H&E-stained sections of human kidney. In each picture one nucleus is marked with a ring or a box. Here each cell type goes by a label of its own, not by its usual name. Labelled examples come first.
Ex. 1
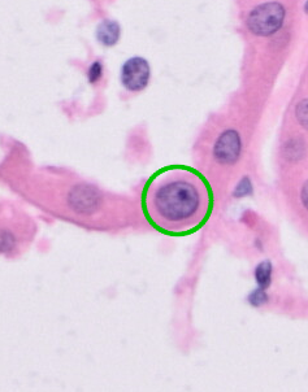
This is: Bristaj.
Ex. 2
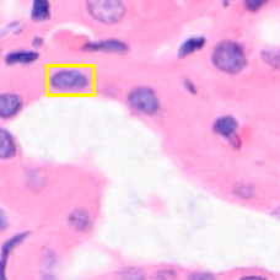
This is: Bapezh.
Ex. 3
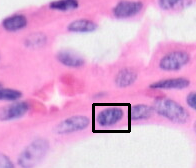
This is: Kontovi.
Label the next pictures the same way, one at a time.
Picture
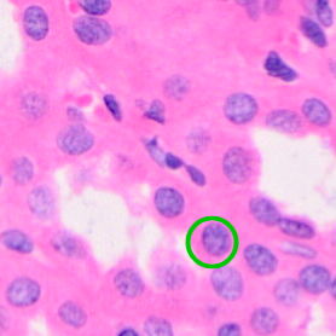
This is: Bapezh.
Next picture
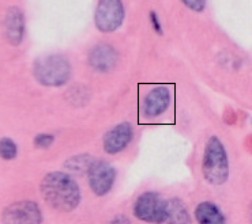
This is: Kontovi.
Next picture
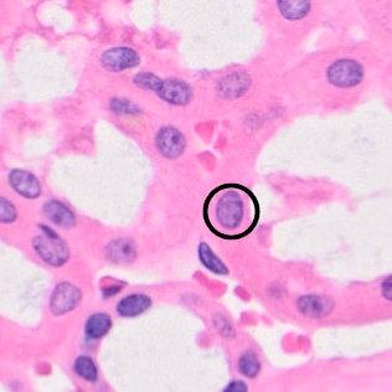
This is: Bristaj.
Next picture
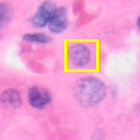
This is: Bapezh.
